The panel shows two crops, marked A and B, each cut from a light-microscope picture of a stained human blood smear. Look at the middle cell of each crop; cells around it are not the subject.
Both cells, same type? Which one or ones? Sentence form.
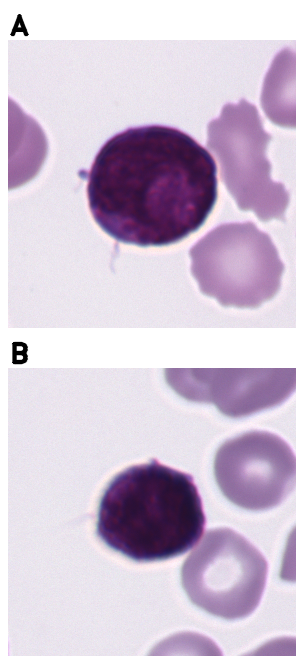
Yes, these two crops both show myeloblasts.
